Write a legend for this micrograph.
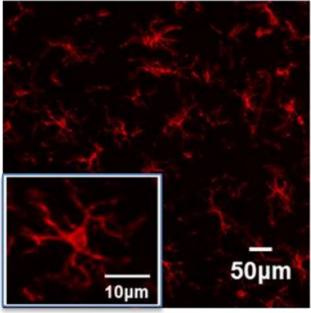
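Scattered across a dark field are small red cells of the brain, microglia, each with a small cell body from which several thin processes branch outward. The processes are long, fine and branch repeatedly, giving each cell a star-like, ramified look. The enlarged inset shows one such cell with a small compact soma and slender radiating branches. Nothing but these red cells stands out; the surrounding tissue is dark.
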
